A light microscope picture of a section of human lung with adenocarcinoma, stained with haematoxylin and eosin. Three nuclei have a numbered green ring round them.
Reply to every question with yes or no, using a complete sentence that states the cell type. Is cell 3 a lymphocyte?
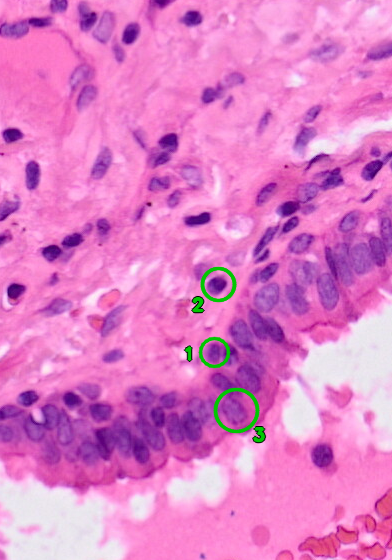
No, the cell carrying number 3 is a ciliated epithelial cell, not a lymphocyte.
